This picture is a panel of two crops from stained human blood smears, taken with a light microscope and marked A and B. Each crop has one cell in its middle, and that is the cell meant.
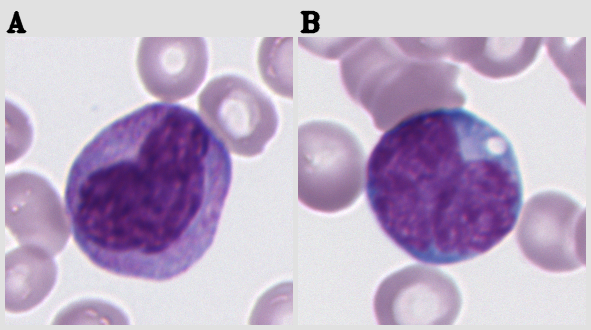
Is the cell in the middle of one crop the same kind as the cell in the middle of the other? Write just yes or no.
no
